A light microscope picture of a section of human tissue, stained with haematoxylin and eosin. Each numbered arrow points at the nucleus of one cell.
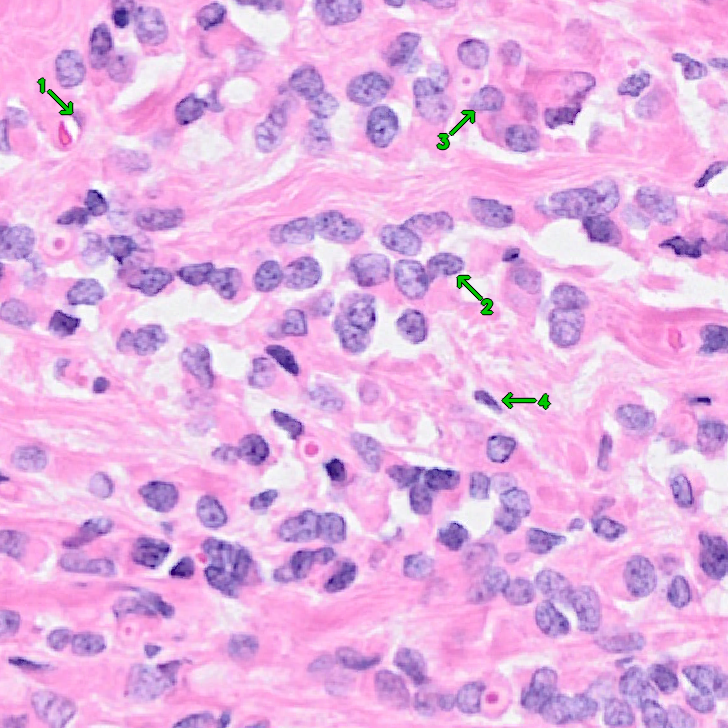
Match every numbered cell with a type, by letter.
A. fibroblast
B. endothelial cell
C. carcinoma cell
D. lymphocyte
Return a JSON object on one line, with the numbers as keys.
{"1": "B", "2": "C", "3": "C", "4": "A"}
